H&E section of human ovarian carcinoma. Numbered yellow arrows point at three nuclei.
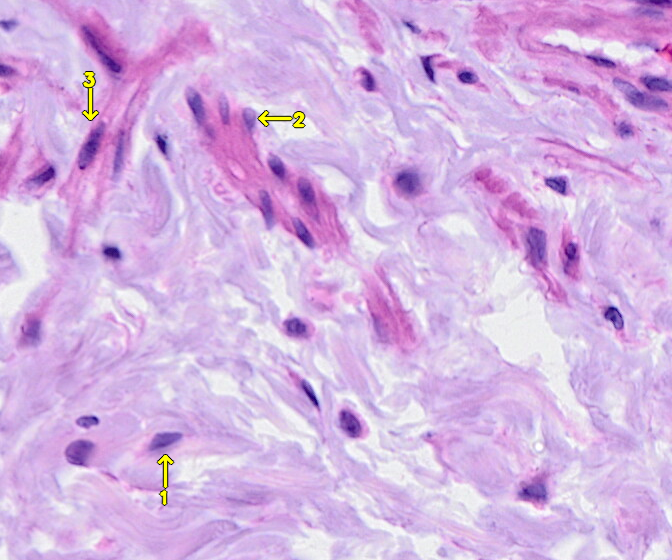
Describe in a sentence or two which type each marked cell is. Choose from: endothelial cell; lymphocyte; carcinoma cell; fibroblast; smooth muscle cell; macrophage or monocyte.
Cell 1 is a fibroblast, cell 2 is a smooth muscle cell and cell 3 is a smooth muscle cell.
